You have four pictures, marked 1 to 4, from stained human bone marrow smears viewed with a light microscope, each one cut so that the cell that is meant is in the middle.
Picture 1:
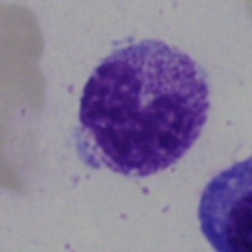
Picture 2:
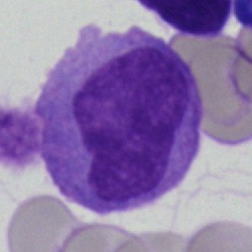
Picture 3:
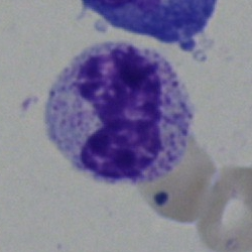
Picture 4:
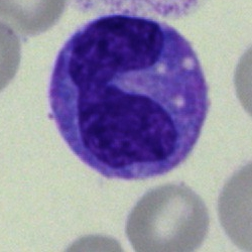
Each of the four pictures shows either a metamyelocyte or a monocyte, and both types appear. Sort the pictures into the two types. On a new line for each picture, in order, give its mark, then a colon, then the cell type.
1: metamyelocyte
2: monocyte
3: metamyelocyte
4: monocyte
